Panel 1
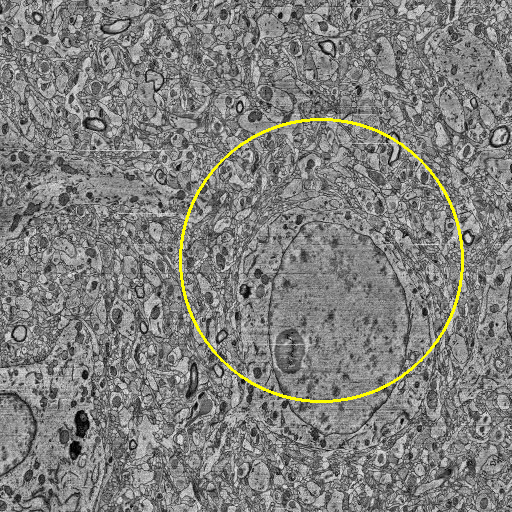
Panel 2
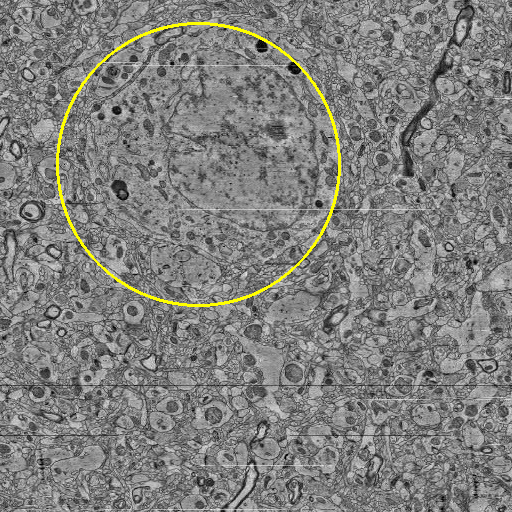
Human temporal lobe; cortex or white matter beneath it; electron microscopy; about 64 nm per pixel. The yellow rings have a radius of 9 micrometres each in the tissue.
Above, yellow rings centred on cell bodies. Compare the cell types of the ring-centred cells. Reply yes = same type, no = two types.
no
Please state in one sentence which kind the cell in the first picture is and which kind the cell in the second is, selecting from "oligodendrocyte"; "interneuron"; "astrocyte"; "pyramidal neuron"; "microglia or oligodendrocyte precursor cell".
The first ringed cell is a pyramidal neuron, the second ringed cell an interneuron.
